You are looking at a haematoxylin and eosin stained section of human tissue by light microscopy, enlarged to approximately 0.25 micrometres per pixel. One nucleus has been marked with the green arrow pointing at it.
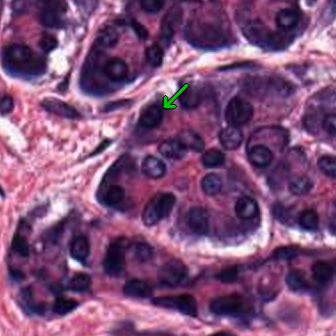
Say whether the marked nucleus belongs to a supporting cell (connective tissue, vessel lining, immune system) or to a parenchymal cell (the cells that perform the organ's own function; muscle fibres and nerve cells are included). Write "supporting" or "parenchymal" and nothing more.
parenchymal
